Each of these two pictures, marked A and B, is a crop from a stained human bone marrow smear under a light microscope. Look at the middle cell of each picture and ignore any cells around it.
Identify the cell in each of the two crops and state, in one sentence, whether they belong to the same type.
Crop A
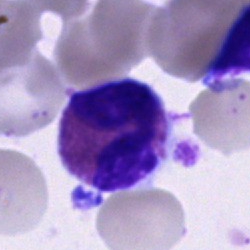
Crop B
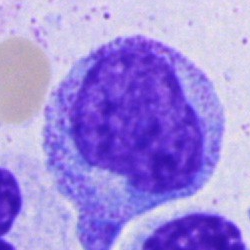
No, an eosinophil occupies the middle of crop A, and a promyelocyte the middle of crop B.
